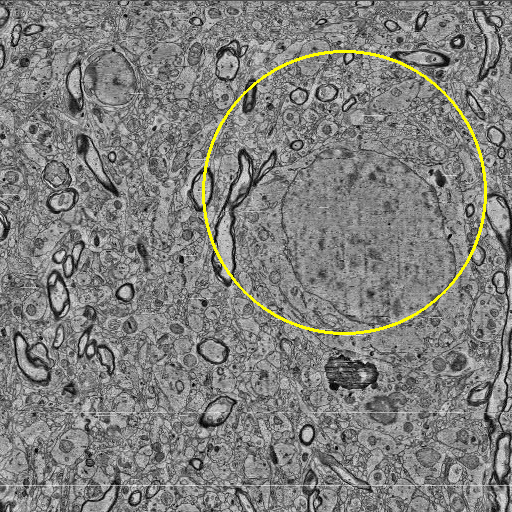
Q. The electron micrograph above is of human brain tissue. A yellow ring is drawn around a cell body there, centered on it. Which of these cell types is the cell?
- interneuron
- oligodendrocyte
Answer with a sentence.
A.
The cell under the ring's center is an interneuron.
